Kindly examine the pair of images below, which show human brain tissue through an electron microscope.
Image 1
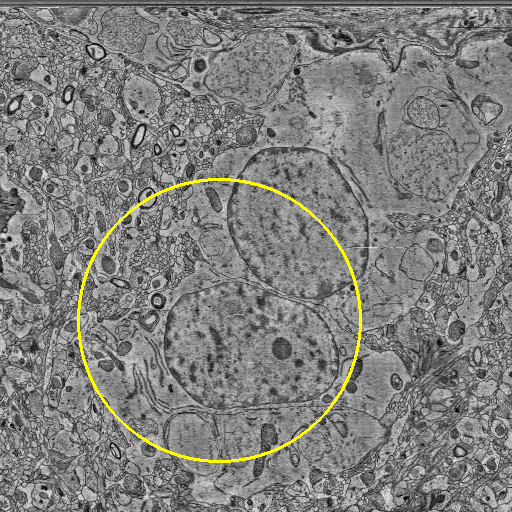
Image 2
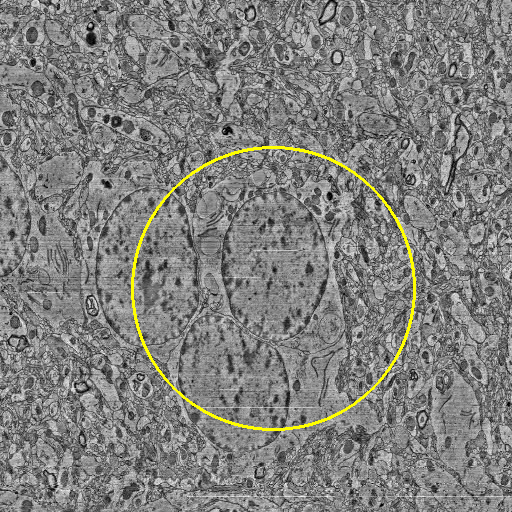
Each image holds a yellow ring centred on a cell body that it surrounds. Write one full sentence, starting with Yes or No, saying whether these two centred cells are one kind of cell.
Yes, both cells at the centres of the yellow rings belong to one kind of cell.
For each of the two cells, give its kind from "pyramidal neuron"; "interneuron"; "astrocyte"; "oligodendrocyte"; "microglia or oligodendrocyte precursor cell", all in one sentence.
Each cell at the centre of a ring is an astrocyte.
